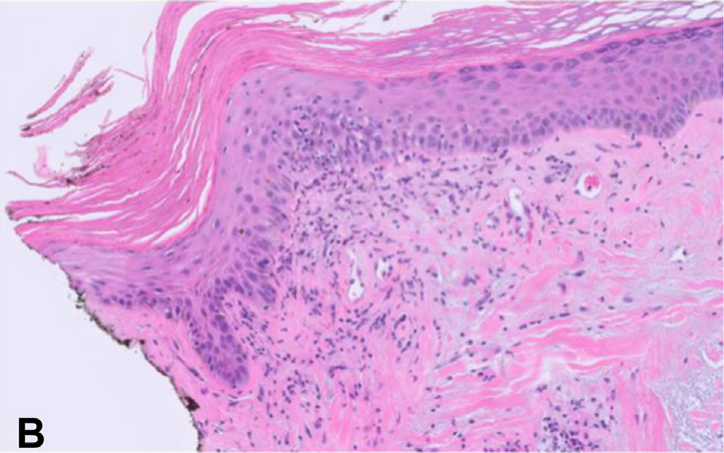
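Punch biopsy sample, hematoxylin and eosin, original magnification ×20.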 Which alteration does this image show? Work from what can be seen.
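A thick pink laminated layer of keratin lies over the epidermis. The keratin layer is thicker than the living epidermis beneath parts of it.
Hyperkeratosis.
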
